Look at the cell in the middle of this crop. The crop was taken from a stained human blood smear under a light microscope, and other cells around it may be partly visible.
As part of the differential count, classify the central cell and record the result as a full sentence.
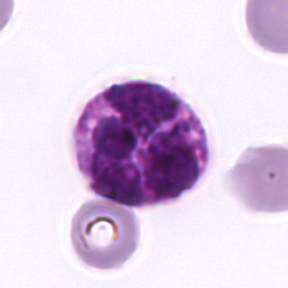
The centrally placed cell is classified as a basophil.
